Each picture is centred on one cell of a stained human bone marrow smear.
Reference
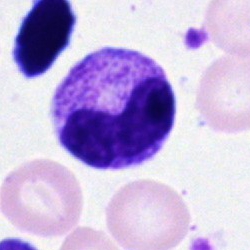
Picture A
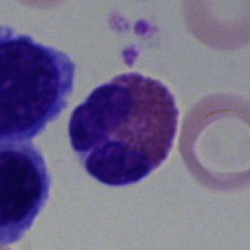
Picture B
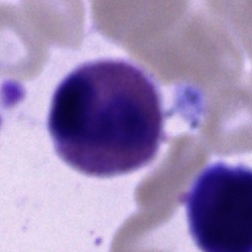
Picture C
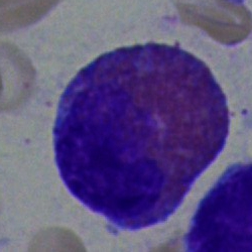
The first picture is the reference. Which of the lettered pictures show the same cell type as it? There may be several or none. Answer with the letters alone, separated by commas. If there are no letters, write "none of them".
none of them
